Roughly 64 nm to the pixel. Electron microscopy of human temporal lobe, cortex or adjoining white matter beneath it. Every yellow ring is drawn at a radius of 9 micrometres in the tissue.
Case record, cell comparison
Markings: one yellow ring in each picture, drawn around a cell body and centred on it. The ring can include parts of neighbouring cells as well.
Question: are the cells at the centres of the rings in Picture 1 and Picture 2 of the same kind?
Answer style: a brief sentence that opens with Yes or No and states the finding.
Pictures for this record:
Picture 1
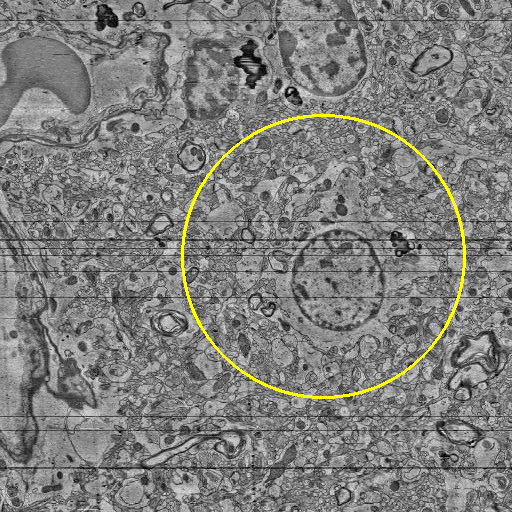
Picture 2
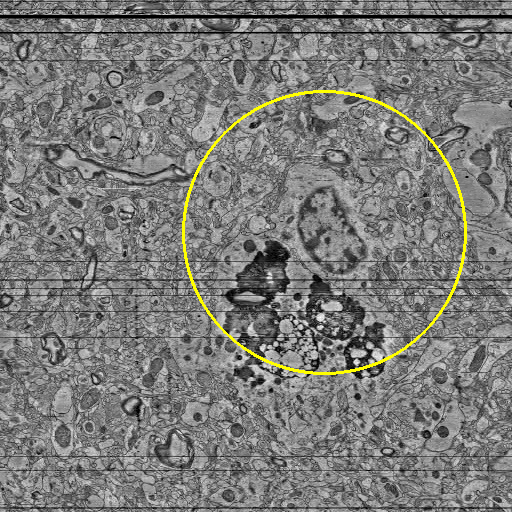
Yes, the cells in Picture 1 and Picture 2 are of the same kind.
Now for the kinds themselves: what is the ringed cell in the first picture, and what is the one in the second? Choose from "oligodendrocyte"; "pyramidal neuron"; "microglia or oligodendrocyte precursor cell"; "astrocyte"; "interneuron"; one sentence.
In the first picture and in the second, the ring is centred on an astrocyte.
